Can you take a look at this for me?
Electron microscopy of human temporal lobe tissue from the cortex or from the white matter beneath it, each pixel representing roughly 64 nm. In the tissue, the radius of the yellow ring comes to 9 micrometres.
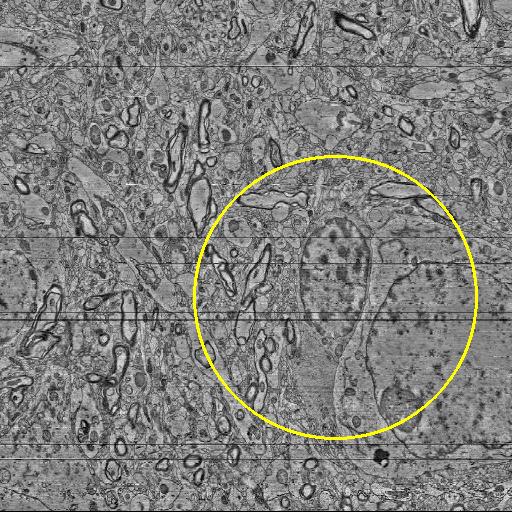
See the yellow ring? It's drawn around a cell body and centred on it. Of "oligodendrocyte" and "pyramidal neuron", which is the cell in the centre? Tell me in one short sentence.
The one in the centre is an oligodendrocyte.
